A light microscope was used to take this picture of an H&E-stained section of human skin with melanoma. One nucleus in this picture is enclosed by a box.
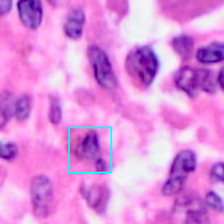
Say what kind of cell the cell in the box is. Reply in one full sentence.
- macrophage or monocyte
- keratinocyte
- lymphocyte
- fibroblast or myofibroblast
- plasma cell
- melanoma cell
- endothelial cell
In cell-type terms, the cell in the box is a macrophage or monocyte.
